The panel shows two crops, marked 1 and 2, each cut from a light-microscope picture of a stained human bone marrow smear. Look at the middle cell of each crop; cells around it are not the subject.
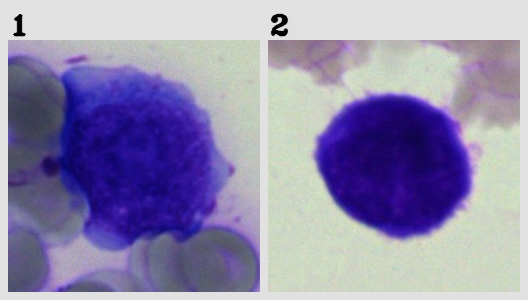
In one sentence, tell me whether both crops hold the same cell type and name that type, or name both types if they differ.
Yes, both crops alike show blasts at the centre.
